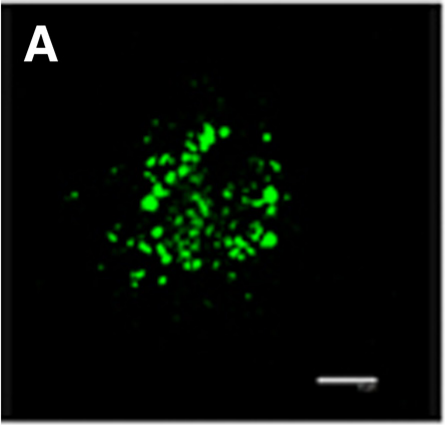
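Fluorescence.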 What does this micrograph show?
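The dots vary in size from small points to larger round blobs and are crowded over the body of the cell. Between them the cytoplasm stays dark, so the green is confined to the dots rather than spread through the cell.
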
